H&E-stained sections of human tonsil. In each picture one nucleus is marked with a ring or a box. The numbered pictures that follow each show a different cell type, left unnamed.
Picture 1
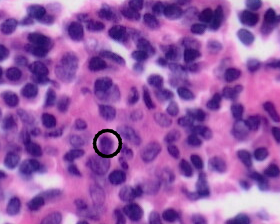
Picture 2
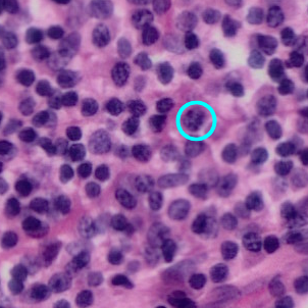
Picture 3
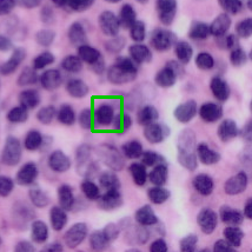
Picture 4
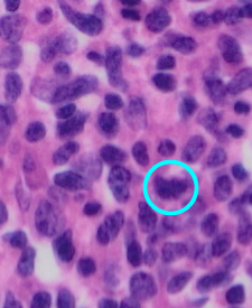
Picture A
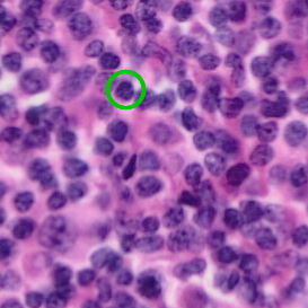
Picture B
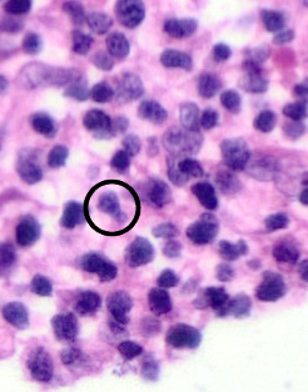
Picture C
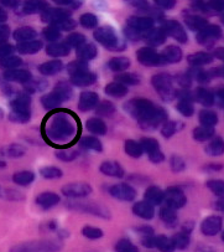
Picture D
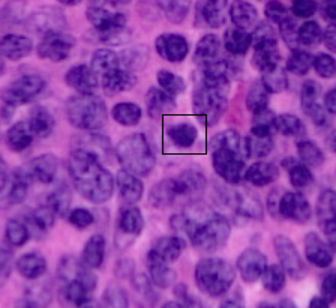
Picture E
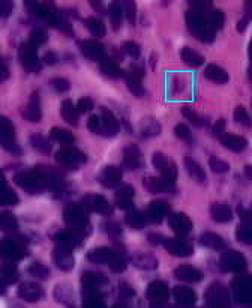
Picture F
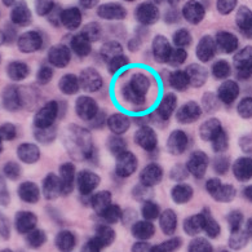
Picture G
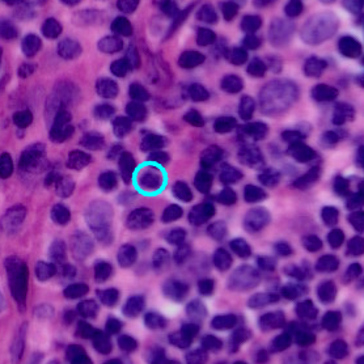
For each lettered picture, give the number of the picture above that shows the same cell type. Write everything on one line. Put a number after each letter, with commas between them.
A 3, B 4, C 2, D 4, E 1, F 3, G 3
